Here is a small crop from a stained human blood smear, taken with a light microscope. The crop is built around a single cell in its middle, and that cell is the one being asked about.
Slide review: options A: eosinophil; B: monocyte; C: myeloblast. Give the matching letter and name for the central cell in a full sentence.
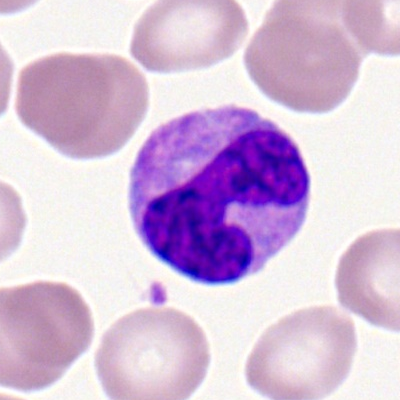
The cell centred in the crop is a monocyte, and the correct option is thus B.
